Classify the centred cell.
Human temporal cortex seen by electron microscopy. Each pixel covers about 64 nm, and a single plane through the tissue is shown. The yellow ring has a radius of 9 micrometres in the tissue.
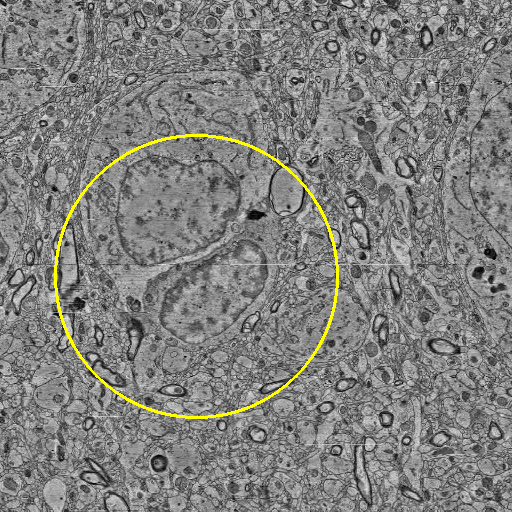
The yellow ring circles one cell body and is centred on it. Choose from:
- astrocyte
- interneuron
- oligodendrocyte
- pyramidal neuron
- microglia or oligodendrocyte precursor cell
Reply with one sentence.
The ring is centred on an oligodendrocyte.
